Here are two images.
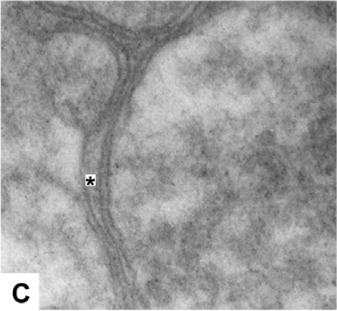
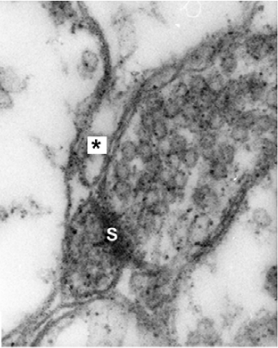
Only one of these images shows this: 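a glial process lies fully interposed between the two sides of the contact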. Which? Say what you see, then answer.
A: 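The first image. First image: a thin process with its own paired membranes runs between the apposed profiles along their contact. Second image: a thin process lies beside the synaptic contact but does not run through it.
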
